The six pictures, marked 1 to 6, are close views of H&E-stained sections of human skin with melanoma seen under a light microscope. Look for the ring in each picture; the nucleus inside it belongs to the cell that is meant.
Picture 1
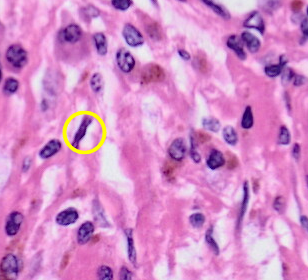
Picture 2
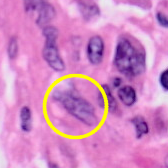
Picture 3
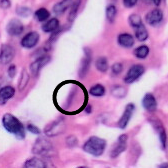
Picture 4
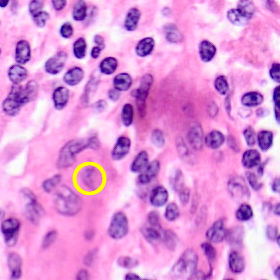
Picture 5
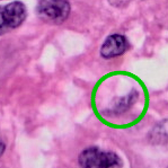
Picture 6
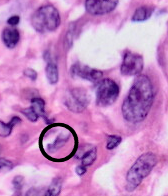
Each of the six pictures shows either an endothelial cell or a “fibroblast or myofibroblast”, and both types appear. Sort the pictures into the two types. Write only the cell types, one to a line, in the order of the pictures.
fibroblast or myofibroblast
endothelial cell
endothelial cell
endothelial cell
fibroblast or myofibroblast
endothelial cell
